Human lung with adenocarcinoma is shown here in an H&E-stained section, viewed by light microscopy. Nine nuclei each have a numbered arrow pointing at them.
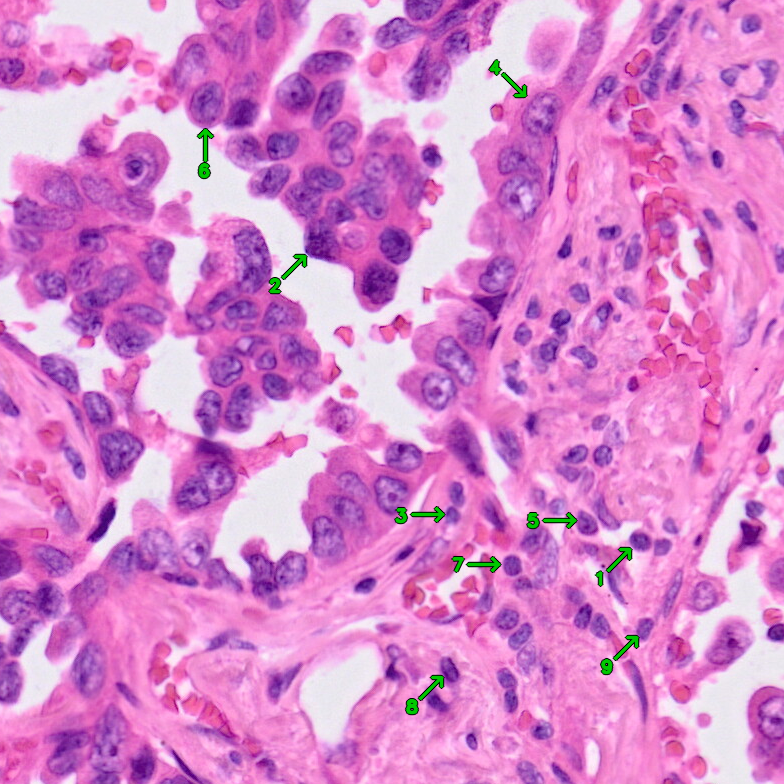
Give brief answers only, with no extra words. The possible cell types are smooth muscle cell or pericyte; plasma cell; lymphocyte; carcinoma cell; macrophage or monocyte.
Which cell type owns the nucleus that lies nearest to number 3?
lymphocyte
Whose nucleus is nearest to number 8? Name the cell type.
plasma cell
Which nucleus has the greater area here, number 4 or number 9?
4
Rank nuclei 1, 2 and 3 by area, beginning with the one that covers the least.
3, 1, 2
